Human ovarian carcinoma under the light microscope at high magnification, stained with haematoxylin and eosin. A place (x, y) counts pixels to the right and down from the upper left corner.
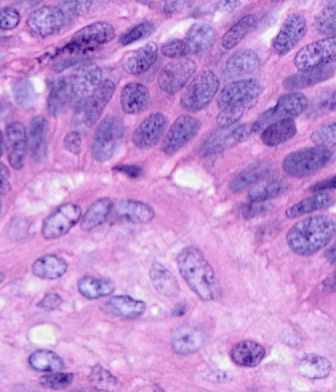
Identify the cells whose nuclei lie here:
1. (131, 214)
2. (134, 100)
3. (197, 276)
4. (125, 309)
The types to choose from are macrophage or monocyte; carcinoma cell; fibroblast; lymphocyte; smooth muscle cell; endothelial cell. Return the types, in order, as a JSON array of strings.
["fibroblast", "carcinoma cell", "fibroblast", "fibroblast"]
